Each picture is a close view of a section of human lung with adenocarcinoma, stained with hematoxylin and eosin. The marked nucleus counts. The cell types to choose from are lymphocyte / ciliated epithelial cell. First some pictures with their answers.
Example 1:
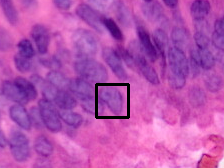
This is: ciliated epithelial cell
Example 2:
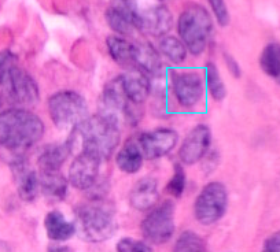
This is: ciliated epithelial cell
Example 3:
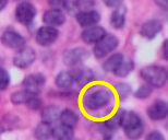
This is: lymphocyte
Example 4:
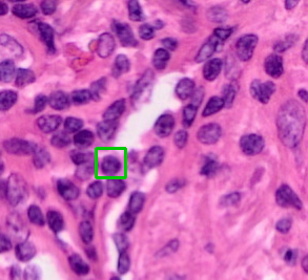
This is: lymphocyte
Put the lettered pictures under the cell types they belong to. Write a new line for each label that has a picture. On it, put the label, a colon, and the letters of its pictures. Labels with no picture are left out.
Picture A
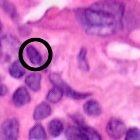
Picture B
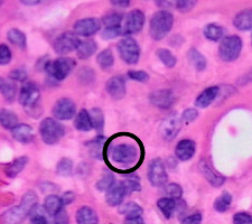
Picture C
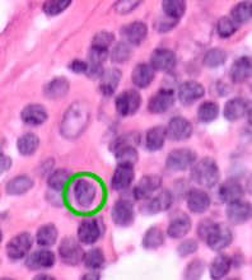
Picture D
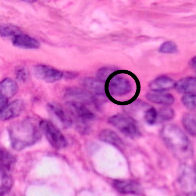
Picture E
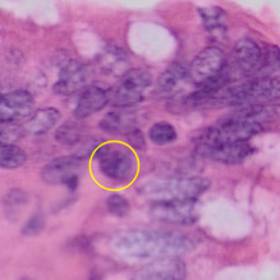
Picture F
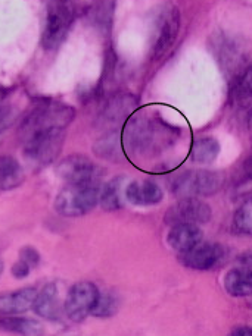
lymphocyte: A, B, C
ciliated epithelial cell: D, E, F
